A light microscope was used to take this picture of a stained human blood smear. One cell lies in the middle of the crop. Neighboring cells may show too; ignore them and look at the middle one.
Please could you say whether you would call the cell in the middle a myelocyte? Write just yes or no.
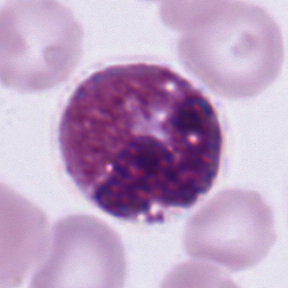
no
